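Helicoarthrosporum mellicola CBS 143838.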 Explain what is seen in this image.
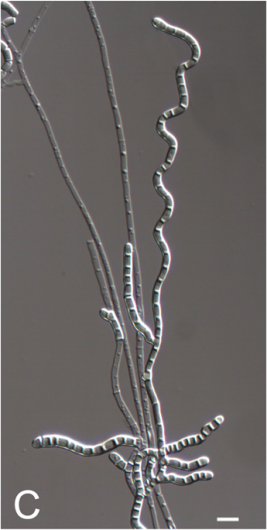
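These are conidiophores of a filamentous fungus among bundled vegetative hyphae. Several long, narrow, smooth, hyaline hyphae run in parallel, with sparse cross-walls. Side branches arise from them. The branches are wider and divided by closely spaced cross-walls into short, barrel-shaped segments, forming chains. One such branch climbs in a wavy, coiled course at the right. A cluster of short segmented branches lies near the bottom.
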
